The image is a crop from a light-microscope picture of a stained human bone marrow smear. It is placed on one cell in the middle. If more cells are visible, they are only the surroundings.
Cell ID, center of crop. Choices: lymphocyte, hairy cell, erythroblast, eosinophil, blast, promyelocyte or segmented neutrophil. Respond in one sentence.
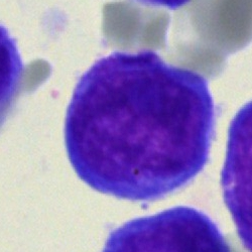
In this crop, the cell at the very middle is a blast.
